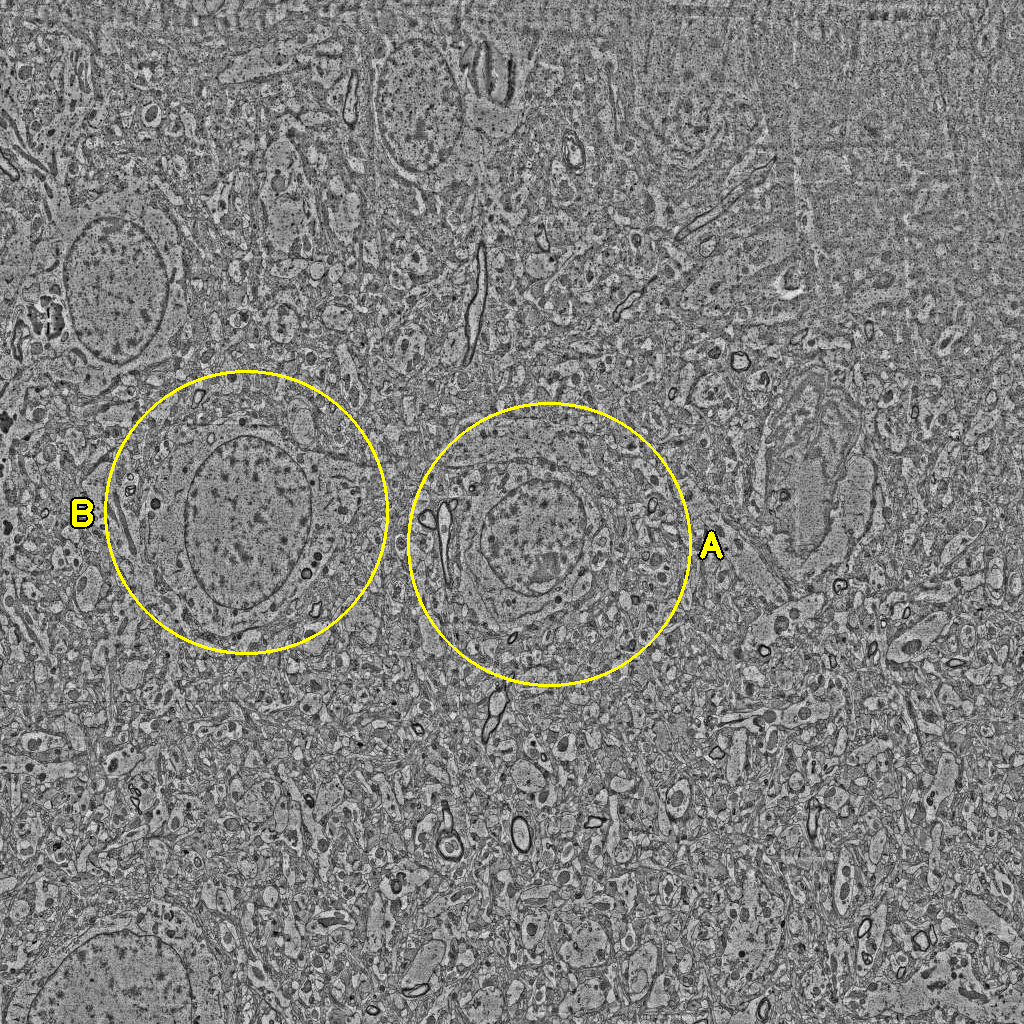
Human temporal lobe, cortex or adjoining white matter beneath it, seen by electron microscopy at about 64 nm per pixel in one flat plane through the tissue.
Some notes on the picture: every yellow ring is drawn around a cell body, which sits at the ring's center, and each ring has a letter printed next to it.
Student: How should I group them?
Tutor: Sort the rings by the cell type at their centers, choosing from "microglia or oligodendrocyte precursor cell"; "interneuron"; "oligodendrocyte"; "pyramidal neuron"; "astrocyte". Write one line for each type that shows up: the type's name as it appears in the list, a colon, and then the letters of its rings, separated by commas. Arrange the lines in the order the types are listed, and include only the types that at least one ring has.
interneuron: A
pyramidal neuron: B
